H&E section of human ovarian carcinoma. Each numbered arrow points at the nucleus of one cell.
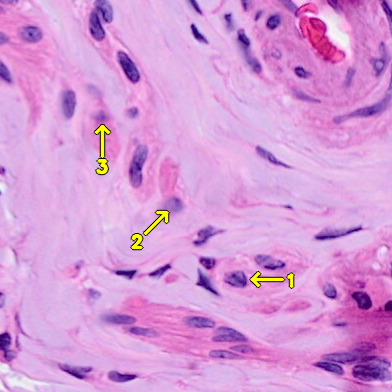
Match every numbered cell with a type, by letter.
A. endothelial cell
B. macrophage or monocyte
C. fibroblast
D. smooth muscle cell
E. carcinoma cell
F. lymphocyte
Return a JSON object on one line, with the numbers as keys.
{"1": "A", "2": "D", "3": "D"}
